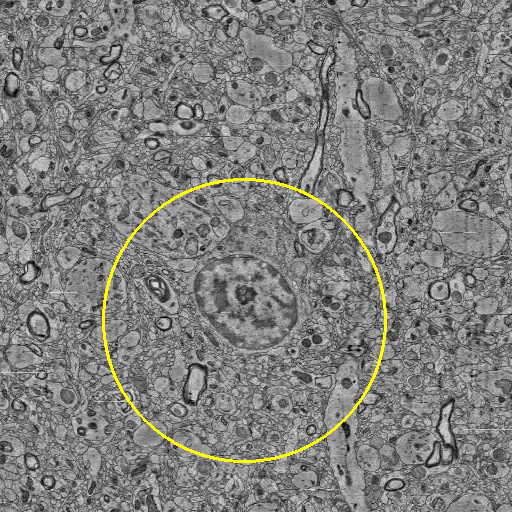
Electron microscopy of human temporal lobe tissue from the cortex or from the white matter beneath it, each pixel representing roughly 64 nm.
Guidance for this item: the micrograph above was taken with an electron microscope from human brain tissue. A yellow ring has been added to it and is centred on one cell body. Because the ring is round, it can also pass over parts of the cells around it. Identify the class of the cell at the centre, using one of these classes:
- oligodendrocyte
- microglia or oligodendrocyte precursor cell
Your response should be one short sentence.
The ring surrounds the body of an oligodendrocyte.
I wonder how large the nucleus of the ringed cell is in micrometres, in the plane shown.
About 7 by 5 micrometres in this plane.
